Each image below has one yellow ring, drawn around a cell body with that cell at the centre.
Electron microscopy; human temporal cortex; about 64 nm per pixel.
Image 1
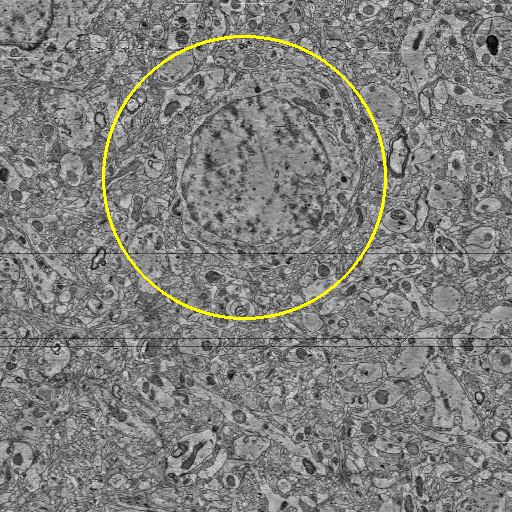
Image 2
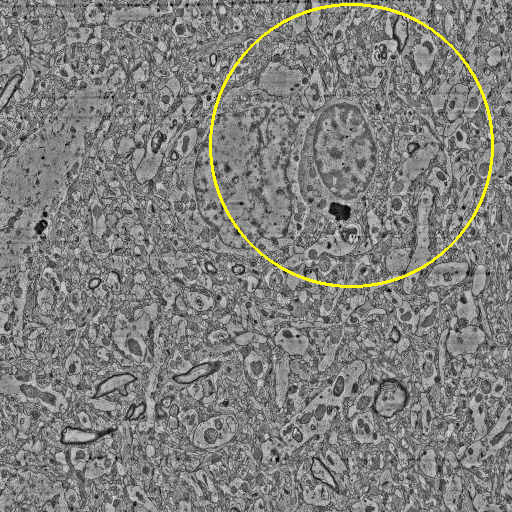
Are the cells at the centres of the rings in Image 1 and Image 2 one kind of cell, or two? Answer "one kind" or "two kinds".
two kinds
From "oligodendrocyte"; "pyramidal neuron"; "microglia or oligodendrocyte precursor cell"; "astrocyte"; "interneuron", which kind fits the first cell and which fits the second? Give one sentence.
The cell marked in the first picture is an interneuron, and the one marked in the second is an oligodendrocyte.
